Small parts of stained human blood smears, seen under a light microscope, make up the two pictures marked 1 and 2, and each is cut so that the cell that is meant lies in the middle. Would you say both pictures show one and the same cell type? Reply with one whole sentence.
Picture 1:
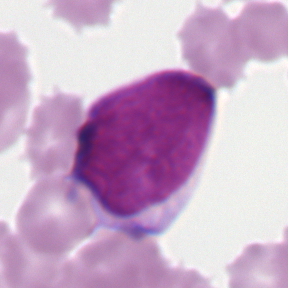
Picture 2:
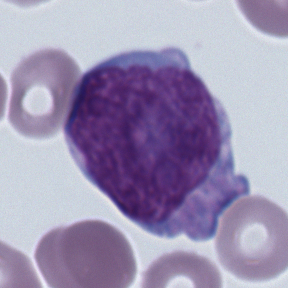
No. Picture 1 shows a myeloblast, but picture 2 shows a promyelocyte.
